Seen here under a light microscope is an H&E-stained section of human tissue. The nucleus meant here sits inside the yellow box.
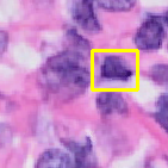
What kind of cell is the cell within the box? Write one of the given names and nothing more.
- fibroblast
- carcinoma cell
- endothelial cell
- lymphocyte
carcinoma cell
